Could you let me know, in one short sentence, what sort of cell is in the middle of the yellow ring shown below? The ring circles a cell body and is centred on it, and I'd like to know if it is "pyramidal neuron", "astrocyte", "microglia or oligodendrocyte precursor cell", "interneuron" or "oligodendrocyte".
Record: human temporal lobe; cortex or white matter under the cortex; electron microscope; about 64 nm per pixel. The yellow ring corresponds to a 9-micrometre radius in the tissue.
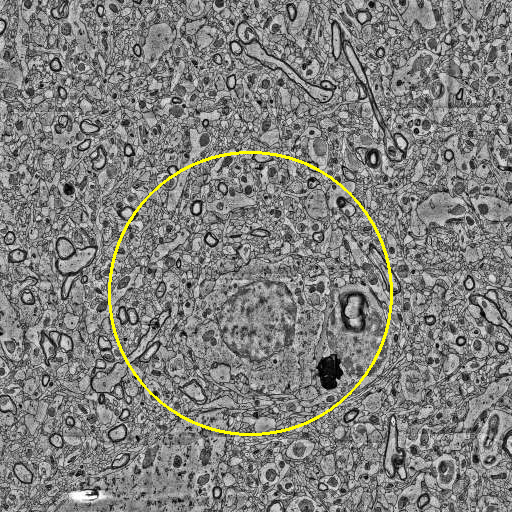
The ring circles the cell body of an interneuron.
